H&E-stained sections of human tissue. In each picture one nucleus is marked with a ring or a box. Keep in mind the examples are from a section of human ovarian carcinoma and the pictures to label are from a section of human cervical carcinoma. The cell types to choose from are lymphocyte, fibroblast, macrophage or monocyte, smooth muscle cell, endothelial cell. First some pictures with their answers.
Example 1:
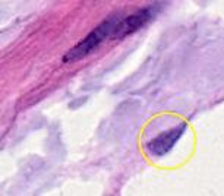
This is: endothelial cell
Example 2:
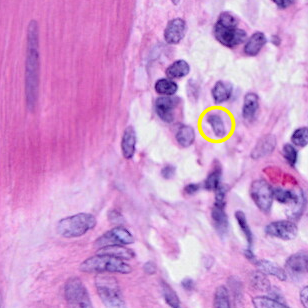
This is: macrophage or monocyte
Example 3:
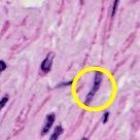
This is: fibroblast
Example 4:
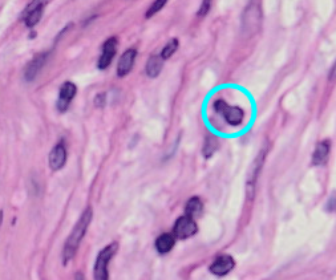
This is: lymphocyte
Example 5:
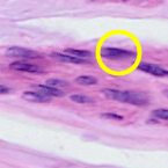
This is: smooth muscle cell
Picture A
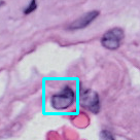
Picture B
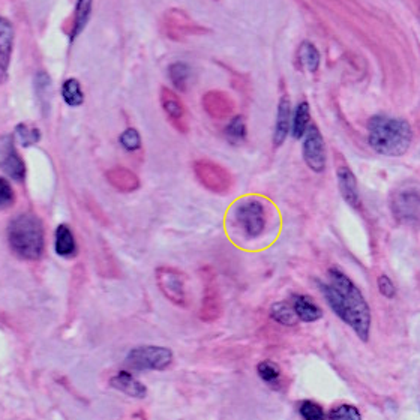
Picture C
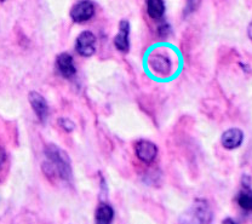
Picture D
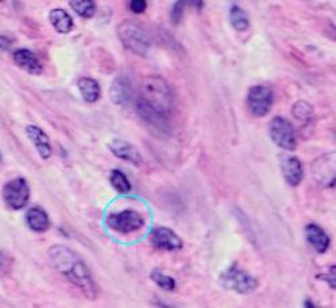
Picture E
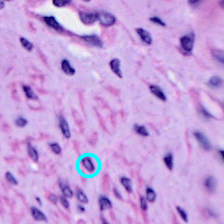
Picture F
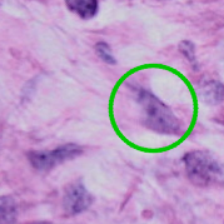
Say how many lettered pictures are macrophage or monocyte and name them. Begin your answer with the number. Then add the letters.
2: B, C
